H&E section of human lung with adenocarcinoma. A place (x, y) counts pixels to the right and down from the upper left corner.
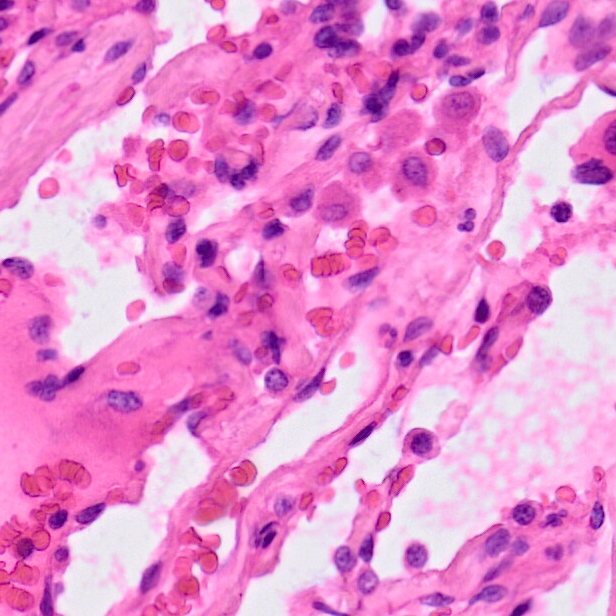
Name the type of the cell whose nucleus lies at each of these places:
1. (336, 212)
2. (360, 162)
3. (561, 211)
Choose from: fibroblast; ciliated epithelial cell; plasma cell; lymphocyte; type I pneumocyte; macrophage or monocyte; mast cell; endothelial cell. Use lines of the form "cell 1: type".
cell 1: macrophage or monocyte
cell 2: macrophage or monocyte
cell 3: lymphocyte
